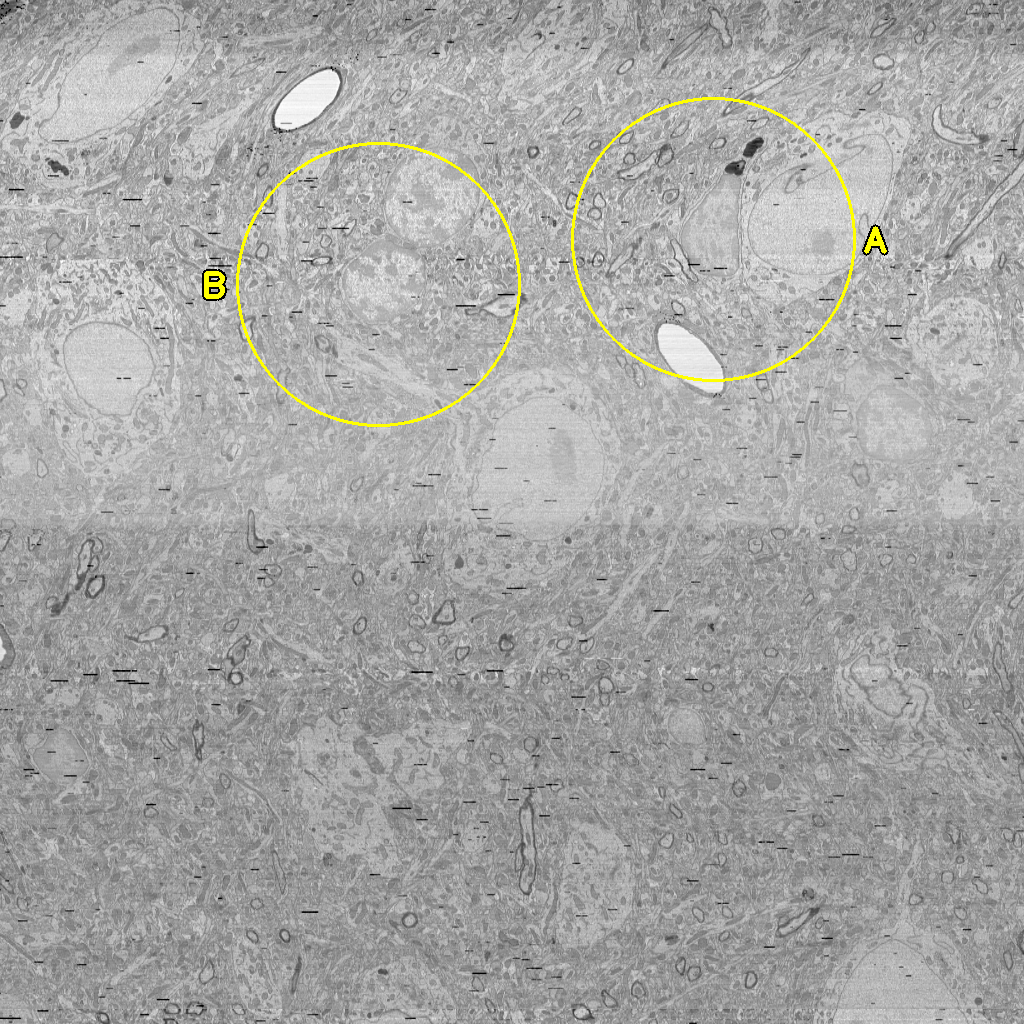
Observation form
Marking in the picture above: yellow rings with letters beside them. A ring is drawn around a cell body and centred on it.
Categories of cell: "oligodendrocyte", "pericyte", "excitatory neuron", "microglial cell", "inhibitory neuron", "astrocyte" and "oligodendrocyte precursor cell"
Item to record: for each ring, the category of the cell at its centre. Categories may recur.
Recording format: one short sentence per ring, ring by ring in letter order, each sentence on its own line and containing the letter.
Ring A is placed on a microglial cell.
Ring B is placed on an oligodendrocyte.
